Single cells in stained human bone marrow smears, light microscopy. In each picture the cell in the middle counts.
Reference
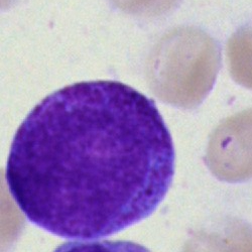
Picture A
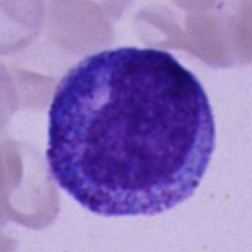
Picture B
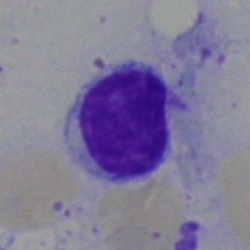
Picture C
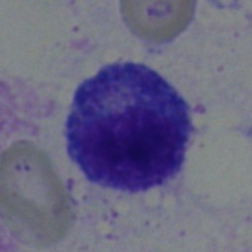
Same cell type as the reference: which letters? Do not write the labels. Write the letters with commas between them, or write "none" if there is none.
A, C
